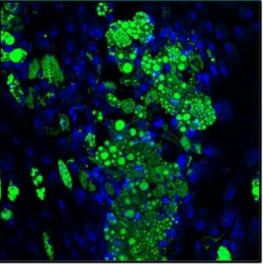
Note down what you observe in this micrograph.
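Many cells are filled with numerous round droplets of widely varying size, from tiny dots to large spheres, packed closely together. The droplet-laden cells gather in a large irregular cluster running through the middle of the field. Blue oval nuclei are scattered throughout, many lying between or beside the droplet clusters.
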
